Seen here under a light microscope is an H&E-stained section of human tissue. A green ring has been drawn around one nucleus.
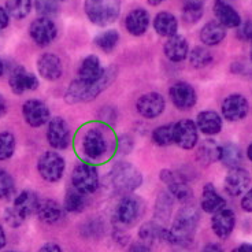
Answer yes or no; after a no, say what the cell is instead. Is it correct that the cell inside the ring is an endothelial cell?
No, it is a plasma cell.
